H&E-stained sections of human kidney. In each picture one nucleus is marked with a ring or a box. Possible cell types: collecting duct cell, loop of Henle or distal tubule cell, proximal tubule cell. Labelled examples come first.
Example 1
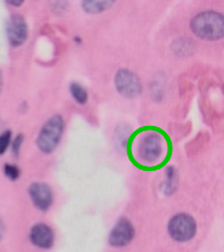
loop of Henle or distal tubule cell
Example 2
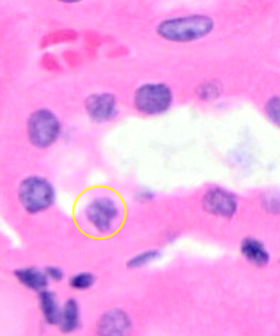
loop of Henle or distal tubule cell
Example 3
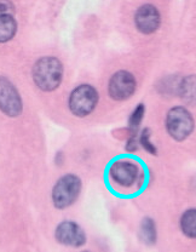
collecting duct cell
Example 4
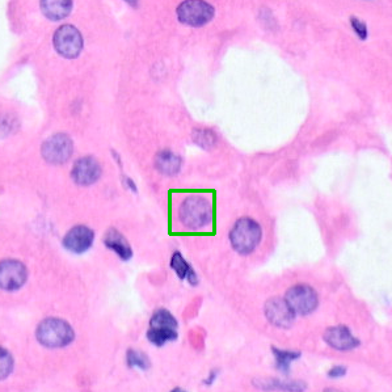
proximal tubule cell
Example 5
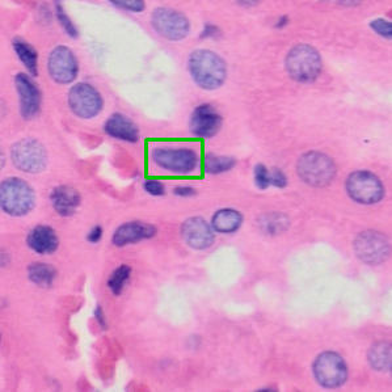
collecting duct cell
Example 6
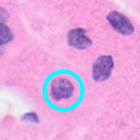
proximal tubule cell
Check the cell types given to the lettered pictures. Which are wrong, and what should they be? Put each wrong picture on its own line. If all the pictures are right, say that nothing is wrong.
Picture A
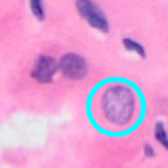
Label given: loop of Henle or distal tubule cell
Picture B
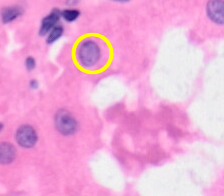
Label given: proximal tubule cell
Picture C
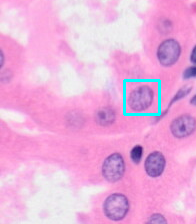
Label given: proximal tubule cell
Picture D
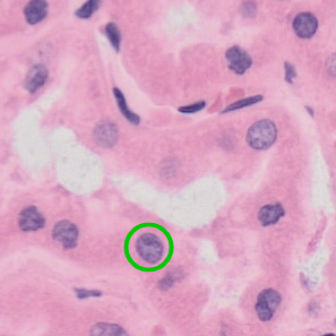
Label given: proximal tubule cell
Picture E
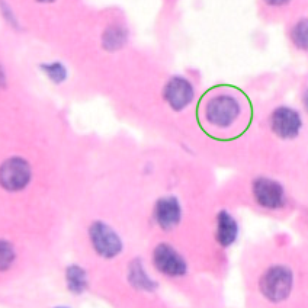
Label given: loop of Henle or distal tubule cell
A: change loop of Henle or distal tubule cell to proximal tubule cell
